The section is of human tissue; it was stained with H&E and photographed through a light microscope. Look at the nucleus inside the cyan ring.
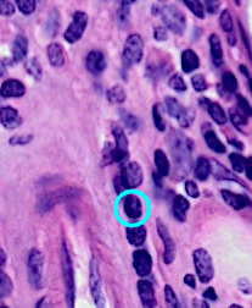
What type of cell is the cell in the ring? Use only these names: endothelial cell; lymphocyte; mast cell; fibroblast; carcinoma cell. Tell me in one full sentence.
Typologically, the cell in the ring is a lymphocyte in this section.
